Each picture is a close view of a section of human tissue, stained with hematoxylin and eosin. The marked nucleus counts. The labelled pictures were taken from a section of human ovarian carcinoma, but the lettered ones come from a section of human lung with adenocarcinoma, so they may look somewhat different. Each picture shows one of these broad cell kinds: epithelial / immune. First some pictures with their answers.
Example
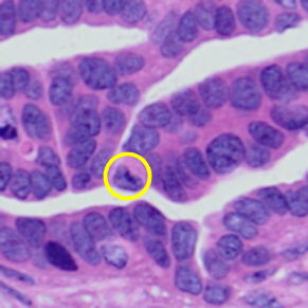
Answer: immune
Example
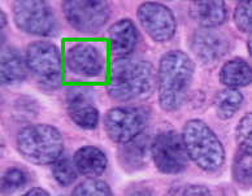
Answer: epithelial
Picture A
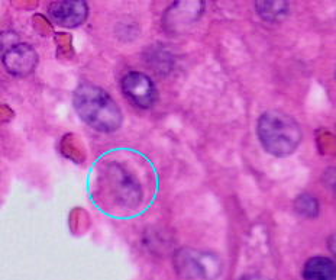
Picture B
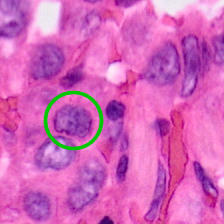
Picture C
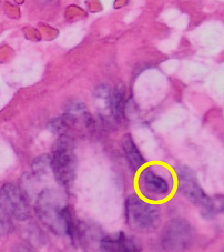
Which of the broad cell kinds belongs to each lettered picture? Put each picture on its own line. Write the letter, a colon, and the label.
A: immune
B: epithelial
C: epithelial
